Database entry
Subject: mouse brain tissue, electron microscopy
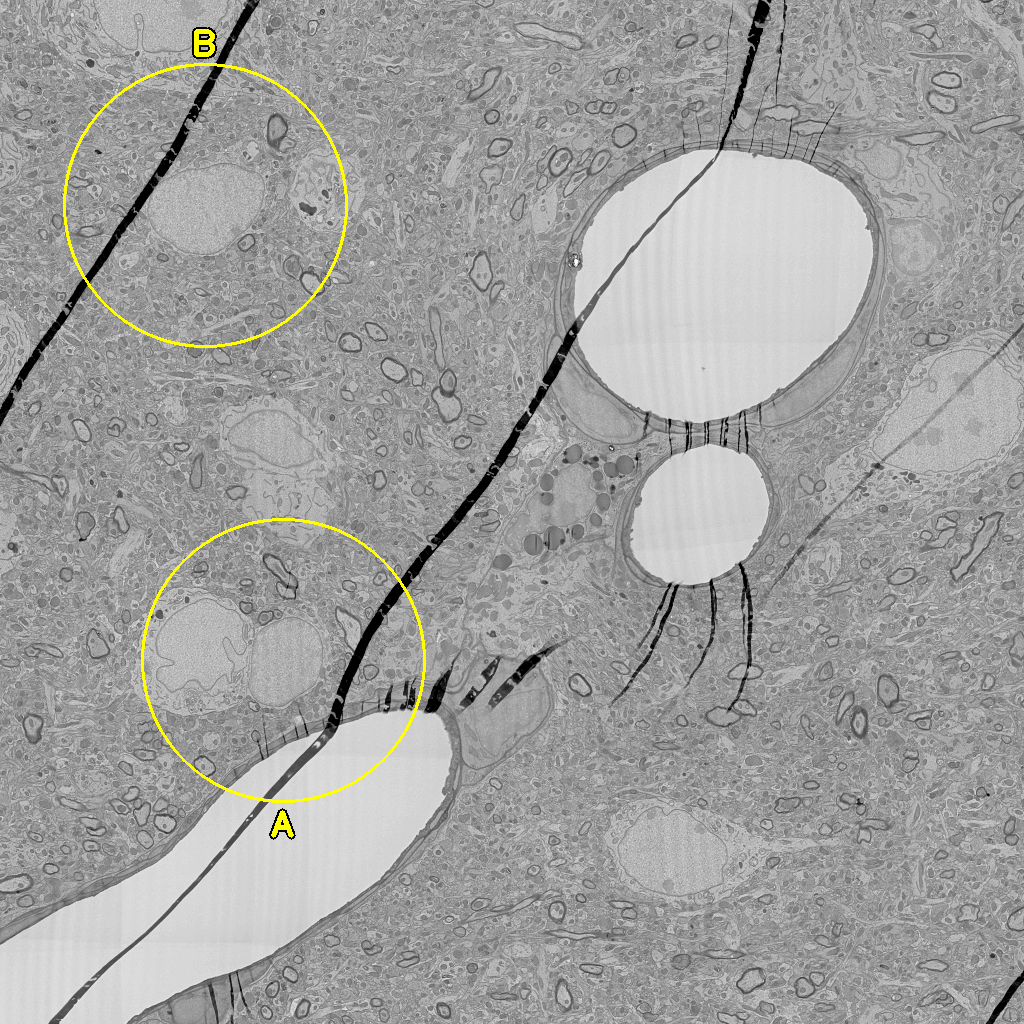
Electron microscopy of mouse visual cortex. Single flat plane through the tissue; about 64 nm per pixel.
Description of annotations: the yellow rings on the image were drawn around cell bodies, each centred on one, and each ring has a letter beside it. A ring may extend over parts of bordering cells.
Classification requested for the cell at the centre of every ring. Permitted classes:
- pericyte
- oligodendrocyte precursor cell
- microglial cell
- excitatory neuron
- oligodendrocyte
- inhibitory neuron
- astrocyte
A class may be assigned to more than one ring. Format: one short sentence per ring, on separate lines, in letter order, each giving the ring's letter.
The cell body at the centre of ring A is an astrocyte.
The cell body at the centre of ring B is an astrocyte.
